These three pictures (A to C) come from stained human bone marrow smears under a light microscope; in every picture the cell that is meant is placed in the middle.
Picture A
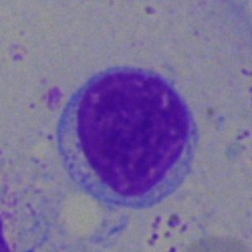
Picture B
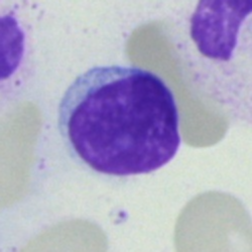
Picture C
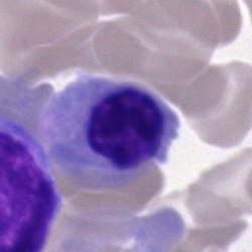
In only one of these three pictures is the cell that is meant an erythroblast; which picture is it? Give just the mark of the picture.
C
